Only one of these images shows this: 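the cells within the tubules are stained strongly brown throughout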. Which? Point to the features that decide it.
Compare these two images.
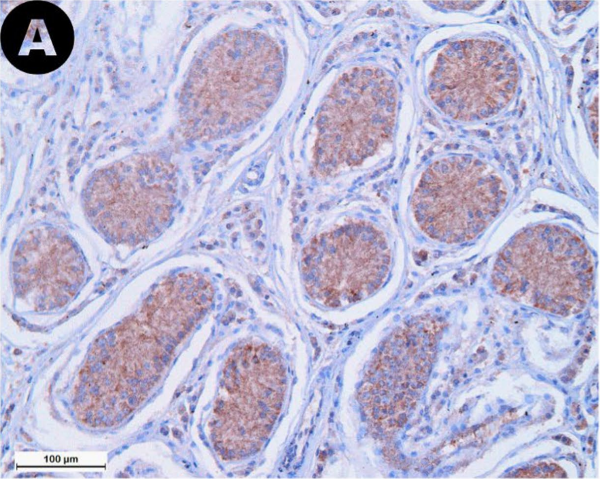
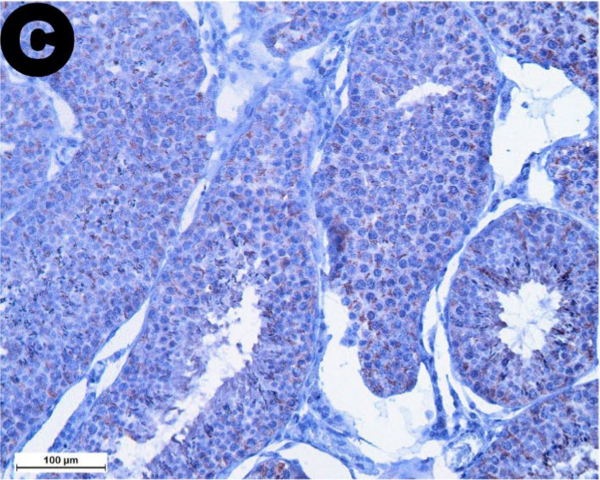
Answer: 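Second image: tubules are mostly blue with only faint, scattered brown. First image: every tubule is filled with diffuse brown stain.
Hence: the first image.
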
